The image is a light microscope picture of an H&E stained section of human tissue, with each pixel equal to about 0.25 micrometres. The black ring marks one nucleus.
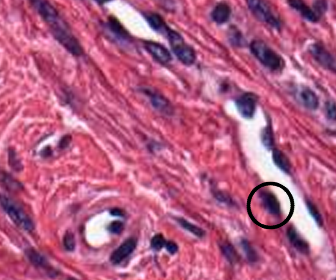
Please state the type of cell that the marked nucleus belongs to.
endothelial cell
